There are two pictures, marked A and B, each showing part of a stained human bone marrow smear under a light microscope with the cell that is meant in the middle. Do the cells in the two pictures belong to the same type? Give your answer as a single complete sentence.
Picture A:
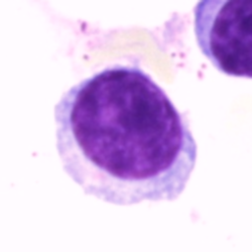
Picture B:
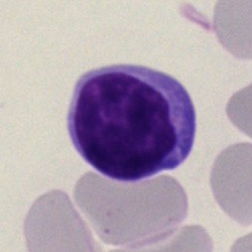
Yes; the cells in both pictures are lymphocytes.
